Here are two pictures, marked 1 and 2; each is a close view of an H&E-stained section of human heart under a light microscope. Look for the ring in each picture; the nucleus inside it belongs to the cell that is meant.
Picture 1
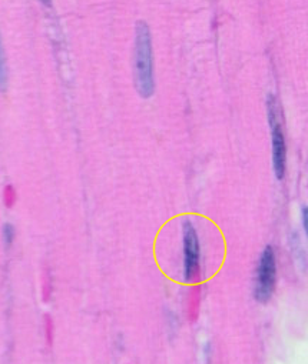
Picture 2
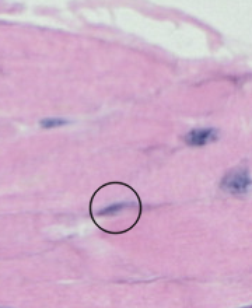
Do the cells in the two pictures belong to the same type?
yes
